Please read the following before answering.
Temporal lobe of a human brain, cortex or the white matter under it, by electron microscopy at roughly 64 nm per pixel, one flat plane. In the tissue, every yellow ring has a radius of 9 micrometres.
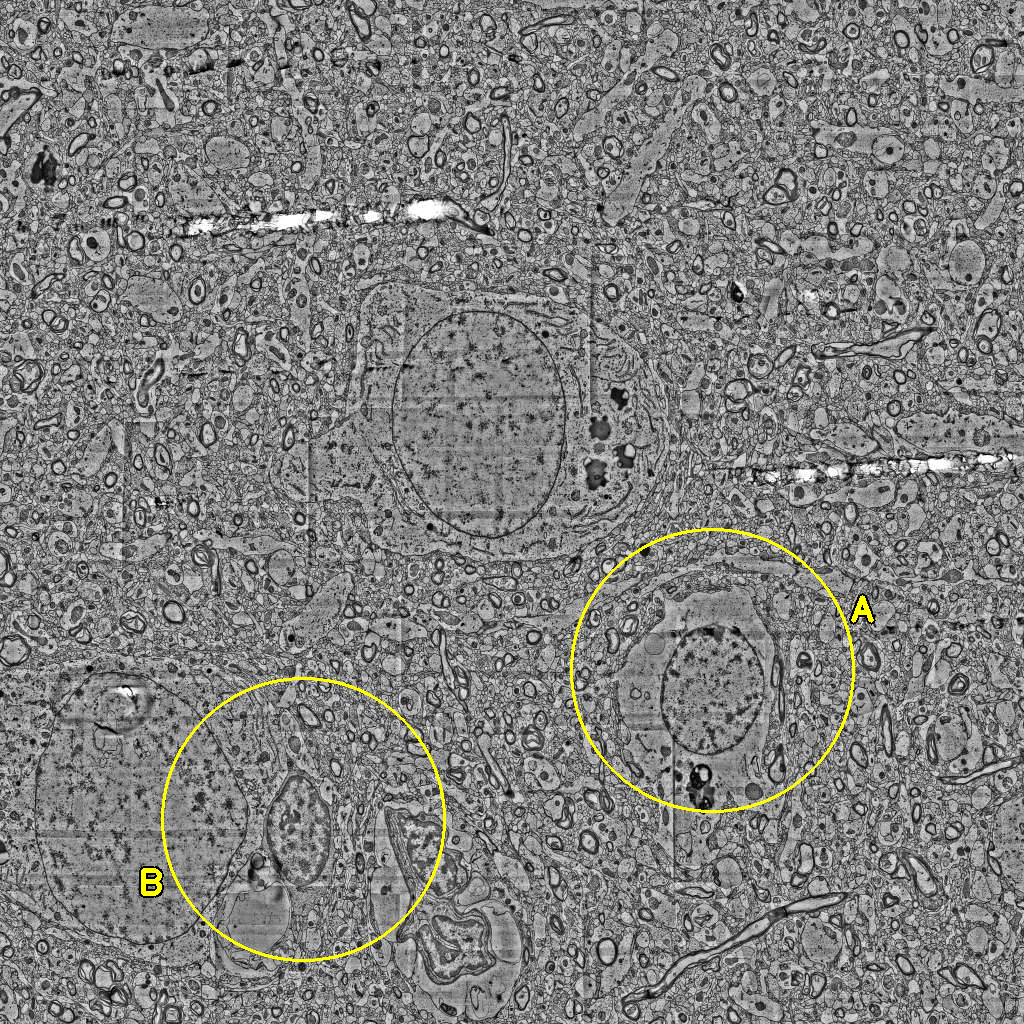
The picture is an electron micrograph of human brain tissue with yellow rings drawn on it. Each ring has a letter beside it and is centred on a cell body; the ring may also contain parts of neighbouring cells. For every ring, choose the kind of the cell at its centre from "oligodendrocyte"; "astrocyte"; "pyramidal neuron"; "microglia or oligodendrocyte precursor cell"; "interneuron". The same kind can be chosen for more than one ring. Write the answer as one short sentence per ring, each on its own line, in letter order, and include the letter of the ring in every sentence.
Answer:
The kind of cell at the centre of ring A is an astrocyte.
The kind of cell at the centre of ring B is an oligodendrocyte.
